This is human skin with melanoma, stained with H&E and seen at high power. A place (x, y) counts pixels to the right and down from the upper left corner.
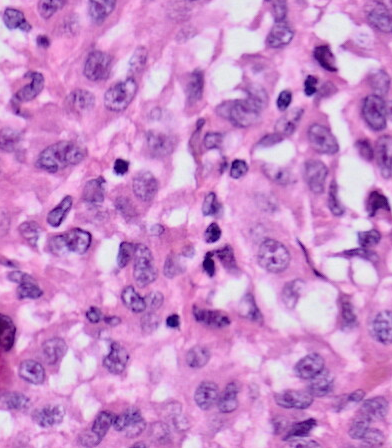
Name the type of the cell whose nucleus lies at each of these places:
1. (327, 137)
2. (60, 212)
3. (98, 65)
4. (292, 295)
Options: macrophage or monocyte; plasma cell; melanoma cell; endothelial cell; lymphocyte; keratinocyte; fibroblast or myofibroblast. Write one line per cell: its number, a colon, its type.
1: melanoma cell
2: macrophage or monocyte
3: melanoma cell
4: melanoma cell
